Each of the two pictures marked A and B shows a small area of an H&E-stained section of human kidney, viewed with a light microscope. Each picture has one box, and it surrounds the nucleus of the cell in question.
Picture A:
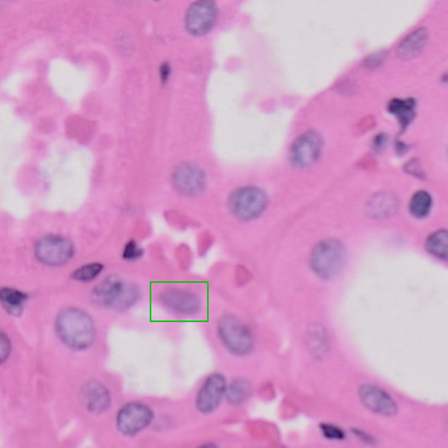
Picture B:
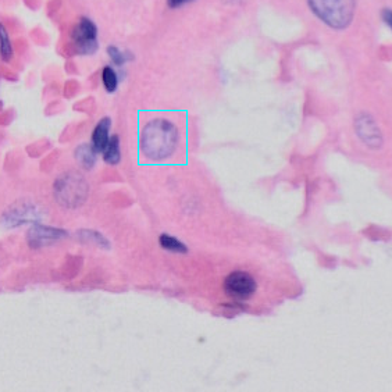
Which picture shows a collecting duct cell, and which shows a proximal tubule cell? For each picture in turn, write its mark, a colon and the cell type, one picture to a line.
A: collecting duct cell
B: proximal tubule cell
